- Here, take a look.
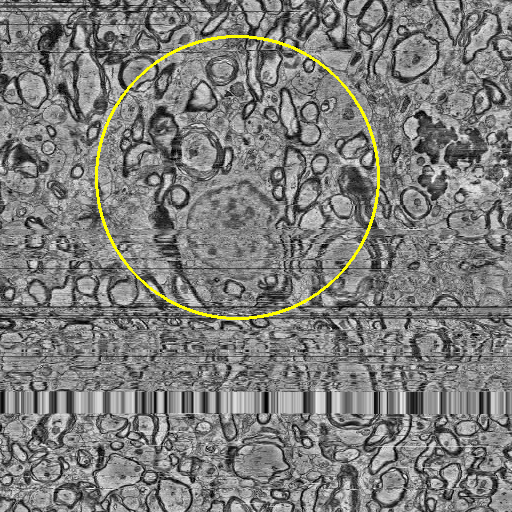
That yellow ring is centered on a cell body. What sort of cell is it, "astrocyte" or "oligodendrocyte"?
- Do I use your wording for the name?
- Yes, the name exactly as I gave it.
oligodendrocyte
